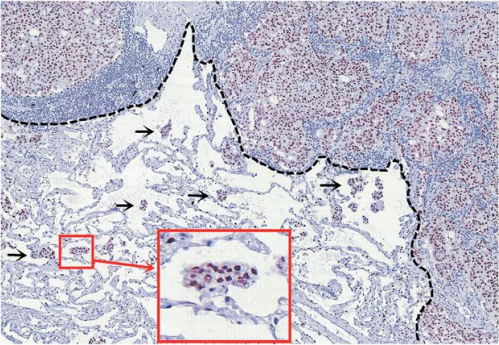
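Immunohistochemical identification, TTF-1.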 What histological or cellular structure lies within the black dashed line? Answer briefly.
Main tumor.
